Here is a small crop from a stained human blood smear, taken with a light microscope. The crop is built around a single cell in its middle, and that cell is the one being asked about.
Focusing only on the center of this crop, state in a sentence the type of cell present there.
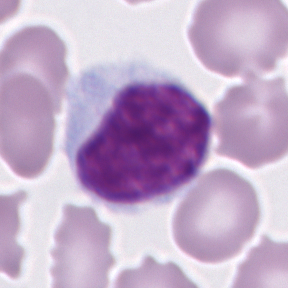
Within this crop, a hairy cell occupies the central position.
